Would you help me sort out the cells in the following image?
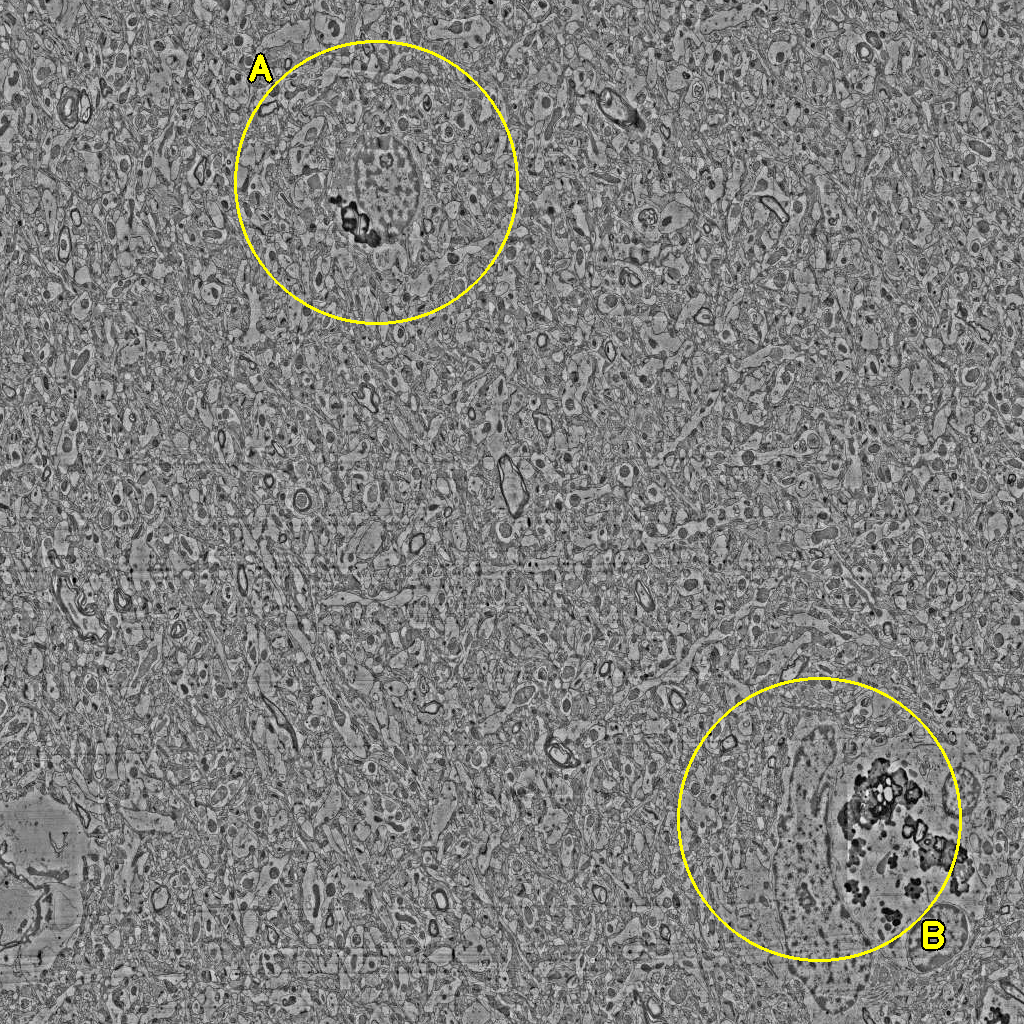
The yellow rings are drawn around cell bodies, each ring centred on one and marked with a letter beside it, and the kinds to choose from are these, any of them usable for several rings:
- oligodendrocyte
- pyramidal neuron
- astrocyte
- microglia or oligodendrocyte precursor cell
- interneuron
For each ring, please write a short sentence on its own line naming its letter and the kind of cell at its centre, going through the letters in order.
Ring A is centred on the cell body of an oligodendrocyte.
Ring B is centred on the cell body of a microglial cell or oligodendrocyte precursor cell.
